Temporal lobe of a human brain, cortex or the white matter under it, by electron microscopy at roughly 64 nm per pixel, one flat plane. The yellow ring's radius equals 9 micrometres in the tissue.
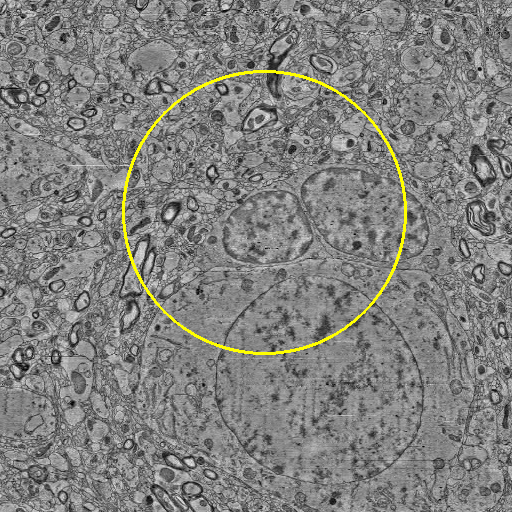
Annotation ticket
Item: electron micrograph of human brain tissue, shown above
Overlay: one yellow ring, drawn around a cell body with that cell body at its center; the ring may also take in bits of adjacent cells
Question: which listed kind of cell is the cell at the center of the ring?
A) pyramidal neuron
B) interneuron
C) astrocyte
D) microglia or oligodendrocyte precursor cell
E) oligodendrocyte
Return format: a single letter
E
